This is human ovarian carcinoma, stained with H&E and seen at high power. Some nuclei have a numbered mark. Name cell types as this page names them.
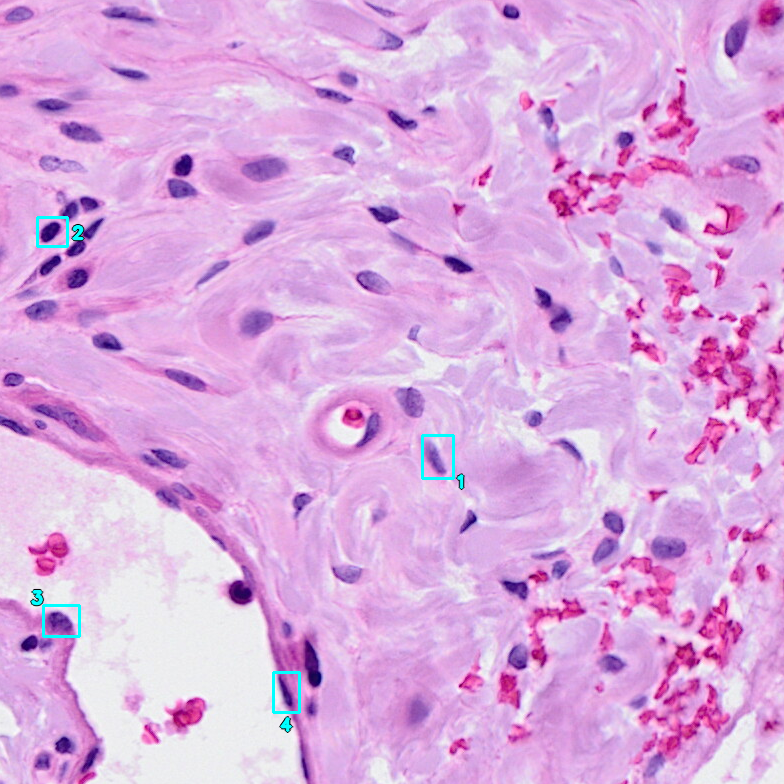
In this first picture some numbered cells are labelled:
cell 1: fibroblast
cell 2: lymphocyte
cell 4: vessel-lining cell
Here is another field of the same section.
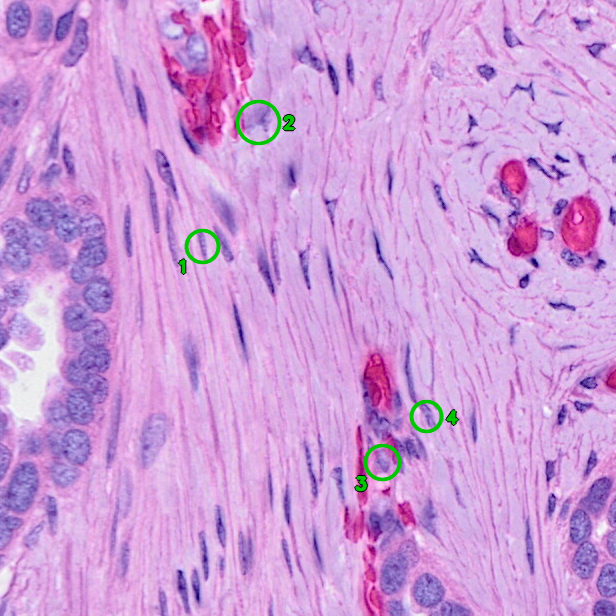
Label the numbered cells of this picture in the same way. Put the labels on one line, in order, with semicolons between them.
fibroblast; fibroblast; vessel-lining cell; fibroblast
